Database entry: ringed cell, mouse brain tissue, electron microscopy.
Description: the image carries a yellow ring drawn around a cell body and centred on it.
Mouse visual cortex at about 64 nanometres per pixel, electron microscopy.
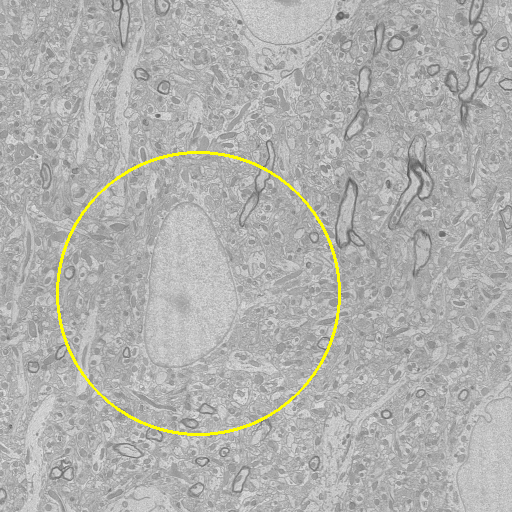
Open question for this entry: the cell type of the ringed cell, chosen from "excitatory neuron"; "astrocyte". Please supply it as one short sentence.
The ringed cell is an astrocyte.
